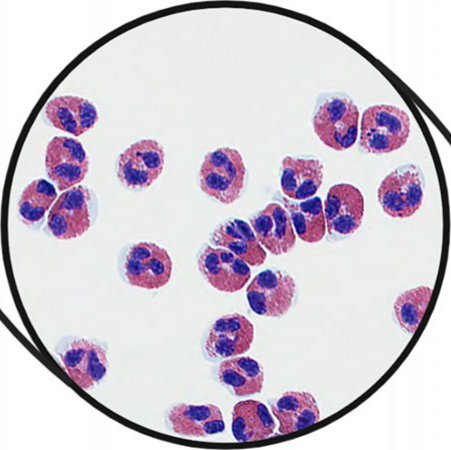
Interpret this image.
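Eosinophils are spread as single round cells, with a few small clumps, on a pale background. Most nuclei are dark purple and split into two rounded lobes, often joined by a thin strand. The cytoplasm is full of coarse, bright pink-red granules that fill most of the cell around the nucleus. Some cells touch or overlap in small groups near the centre and at the bottom of the field.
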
